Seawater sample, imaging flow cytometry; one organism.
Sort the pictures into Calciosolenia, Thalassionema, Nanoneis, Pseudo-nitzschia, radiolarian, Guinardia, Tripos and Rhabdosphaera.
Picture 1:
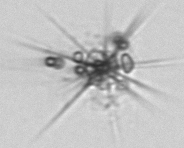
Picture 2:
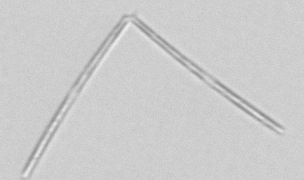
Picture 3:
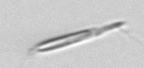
Radiolarians: 1
Thalassionema: 2
Calciosolenia: 3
